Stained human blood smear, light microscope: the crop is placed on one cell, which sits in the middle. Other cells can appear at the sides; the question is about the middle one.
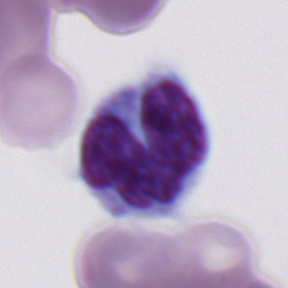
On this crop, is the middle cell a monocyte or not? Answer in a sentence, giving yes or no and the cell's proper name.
Yes, it is a monocyte that lies in the middle.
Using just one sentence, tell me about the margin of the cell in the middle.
Nothing juts out from the margin, which is smooth throughout.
